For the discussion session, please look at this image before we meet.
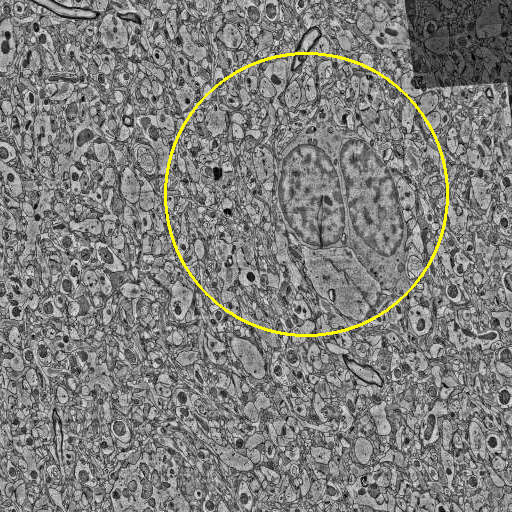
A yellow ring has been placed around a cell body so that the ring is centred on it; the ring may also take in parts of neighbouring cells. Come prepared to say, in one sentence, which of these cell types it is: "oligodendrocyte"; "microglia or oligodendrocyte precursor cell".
The cell centred in the ring is an oligodendrocyte.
